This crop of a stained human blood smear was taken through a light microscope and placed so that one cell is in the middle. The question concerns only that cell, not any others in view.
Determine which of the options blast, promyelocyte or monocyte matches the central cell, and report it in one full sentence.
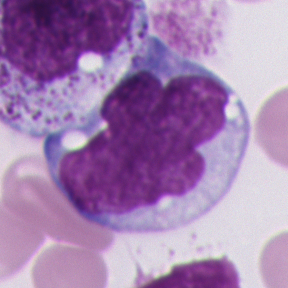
The cell around which this crop is centred is a monocyte.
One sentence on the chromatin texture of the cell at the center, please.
Chromatin texture is fine, and coarse clumps are absent.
